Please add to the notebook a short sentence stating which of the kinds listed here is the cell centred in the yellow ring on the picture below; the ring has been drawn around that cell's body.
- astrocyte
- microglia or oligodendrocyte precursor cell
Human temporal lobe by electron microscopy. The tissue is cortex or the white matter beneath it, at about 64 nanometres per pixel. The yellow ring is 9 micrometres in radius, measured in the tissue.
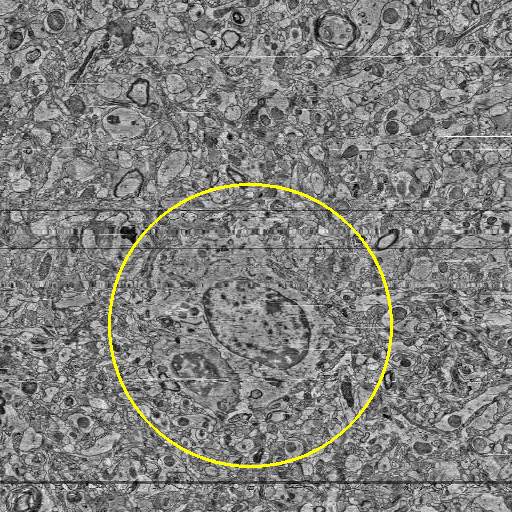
The cell centred in the yellow ring is an astrocyte.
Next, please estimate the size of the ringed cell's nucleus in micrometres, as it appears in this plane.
The nucleus of the ringed cell is approximately 7 by 5 micrometres in this plane.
